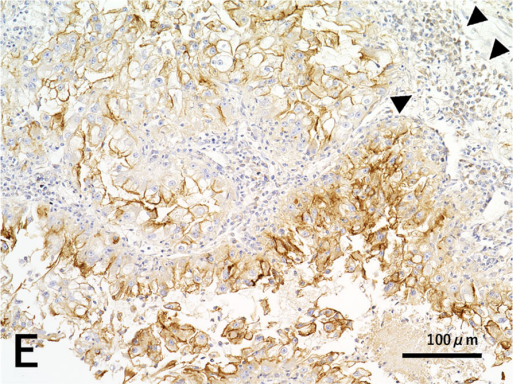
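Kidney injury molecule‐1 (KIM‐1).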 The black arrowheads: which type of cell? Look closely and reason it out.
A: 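Arrowheads point to small round cells with dense nuclei in a crowded cluster. These cells are much smaller than the large pale tumor cells.
Answer: immune cells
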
